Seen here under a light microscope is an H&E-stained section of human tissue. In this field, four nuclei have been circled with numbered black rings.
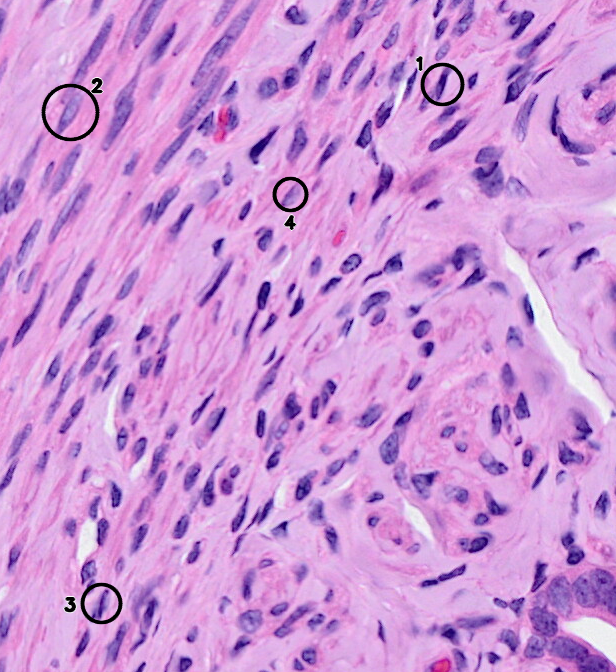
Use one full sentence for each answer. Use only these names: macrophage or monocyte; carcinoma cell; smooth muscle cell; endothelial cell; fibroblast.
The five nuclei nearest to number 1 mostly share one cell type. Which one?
Smooth muscle cells make up most of the five nuclei closest to number 1.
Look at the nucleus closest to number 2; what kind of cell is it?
The nucleus nearest to number 2 is that of a smooth muscle cell.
